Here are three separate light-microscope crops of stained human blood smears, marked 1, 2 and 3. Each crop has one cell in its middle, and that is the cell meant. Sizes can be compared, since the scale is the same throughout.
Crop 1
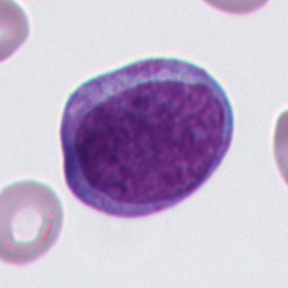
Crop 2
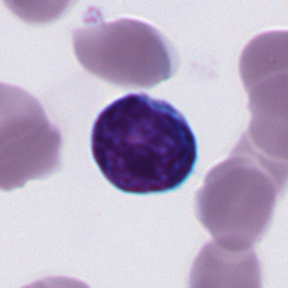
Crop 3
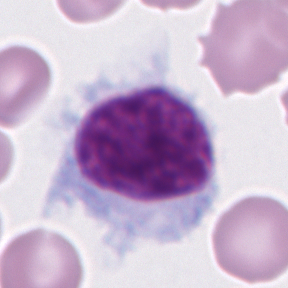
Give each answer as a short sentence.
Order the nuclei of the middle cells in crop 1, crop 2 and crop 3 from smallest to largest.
Smallest first: 2, 3, 1.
